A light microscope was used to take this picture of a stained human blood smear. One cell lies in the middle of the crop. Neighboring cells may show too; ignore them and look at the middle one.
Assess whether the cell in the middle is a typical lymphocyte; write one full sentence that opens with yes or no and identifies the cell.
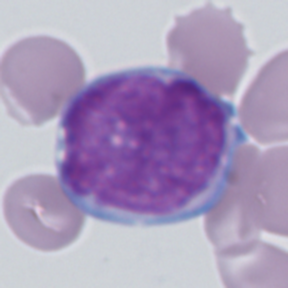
No, not a typical lymphocyte: the cell in the middle of this crop is a myeloblast.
